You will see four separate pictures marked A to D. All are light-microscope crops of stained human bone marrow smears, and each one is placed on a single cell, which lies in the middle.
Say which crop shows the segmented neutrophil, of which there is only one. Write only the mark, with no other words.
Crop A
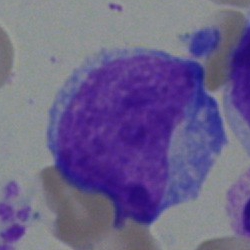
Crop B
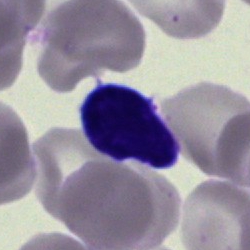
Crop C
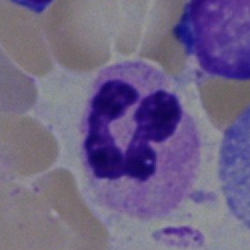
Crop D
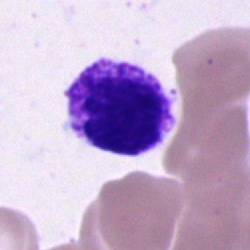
C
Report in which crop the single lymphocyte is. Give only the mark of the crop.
B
